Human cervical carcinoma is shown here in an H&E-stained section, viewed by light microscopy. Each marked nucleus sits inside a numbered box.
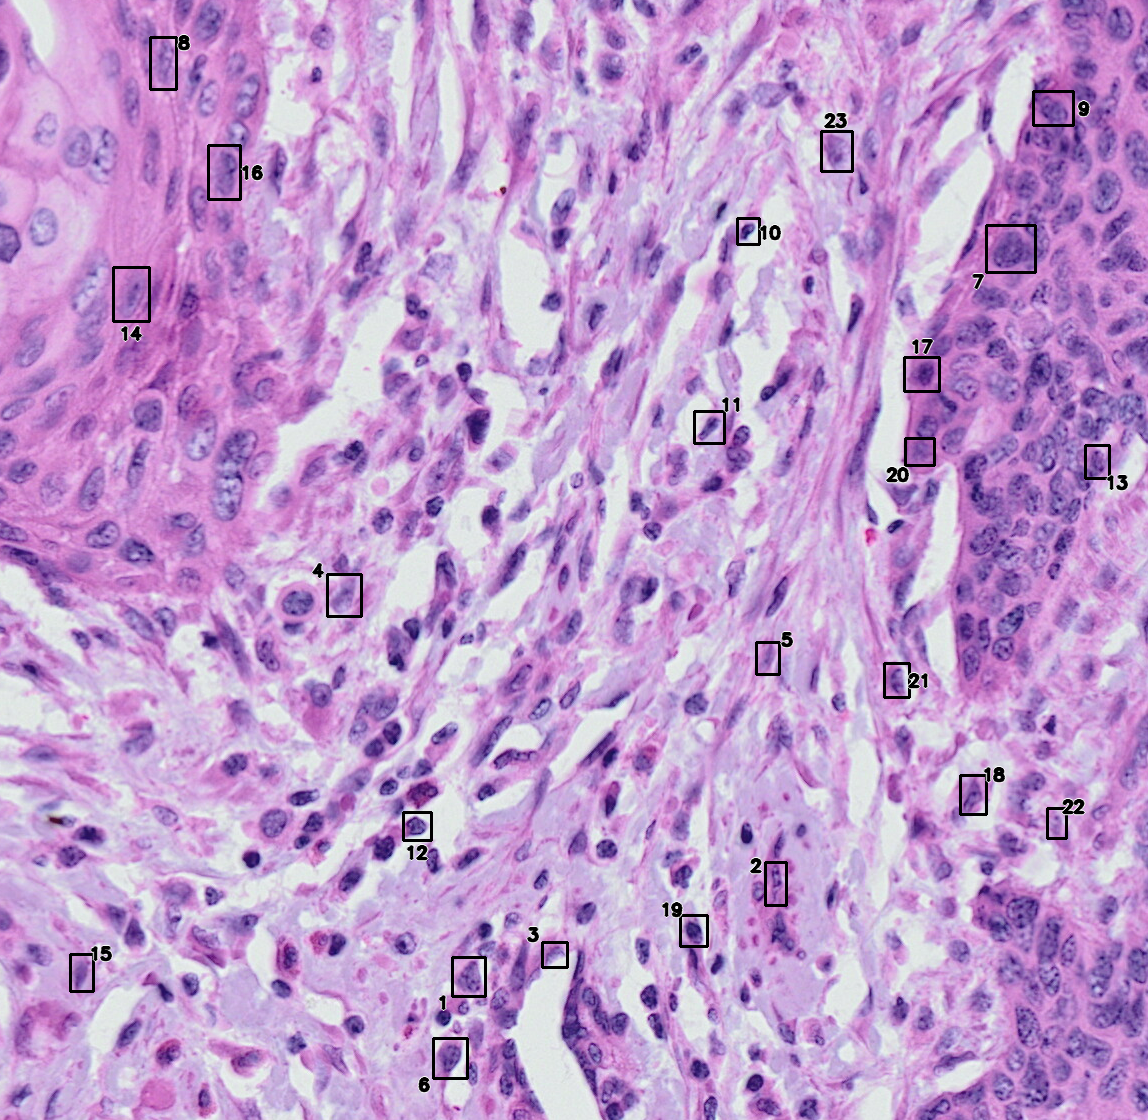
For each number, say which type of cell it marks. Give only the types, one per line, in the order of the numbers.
macrophage or monocyte
endothelial cell
endothelial cell
fibroblast
fibroblast
macrophage or monocyte
squamous carcinoma cell
squamous carcinoma cell
squamous carcinoma cell
lymphocyte
lymphocyte
lymphocyte
squamous carcinoma cell
squamous carcinoma cell
fibroblast
squamous carcinoma cell
squamous carcinoma cell
macrophage or monocyte
lymphocyte
squamous carcinoma cell
macrophage or monocyte
fibroblast
fibroblast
